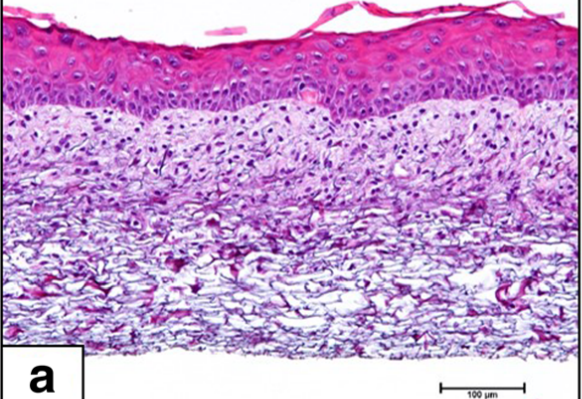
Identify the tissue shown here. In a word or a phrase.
engineered skin substitutes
